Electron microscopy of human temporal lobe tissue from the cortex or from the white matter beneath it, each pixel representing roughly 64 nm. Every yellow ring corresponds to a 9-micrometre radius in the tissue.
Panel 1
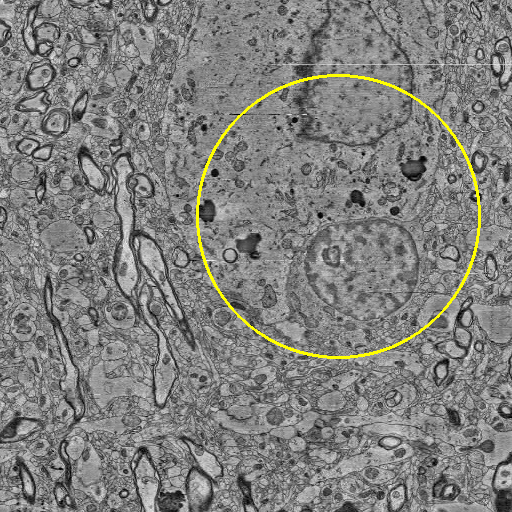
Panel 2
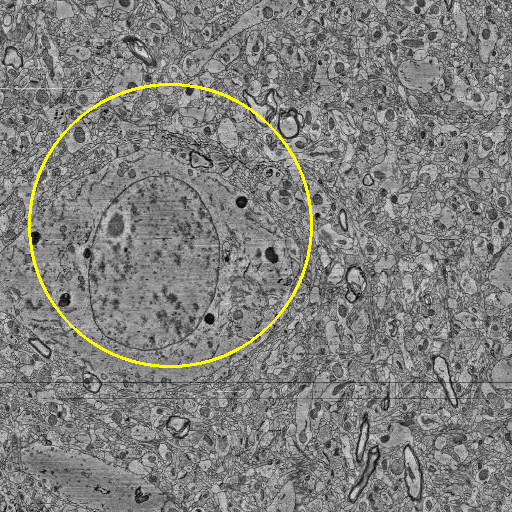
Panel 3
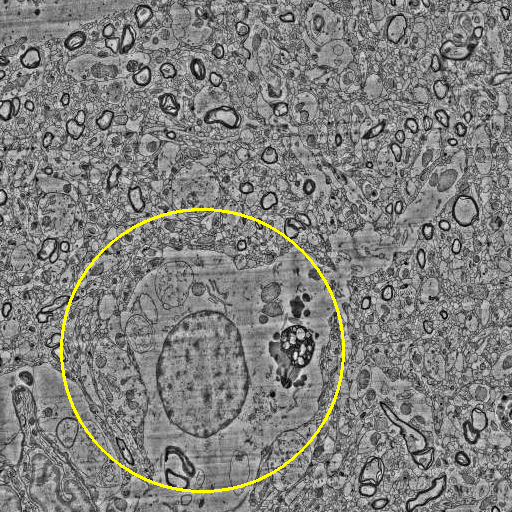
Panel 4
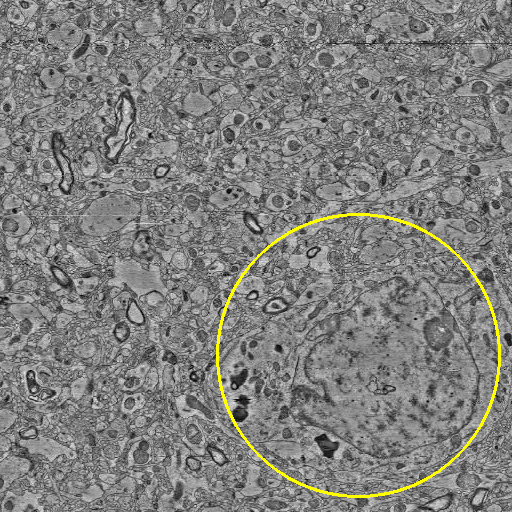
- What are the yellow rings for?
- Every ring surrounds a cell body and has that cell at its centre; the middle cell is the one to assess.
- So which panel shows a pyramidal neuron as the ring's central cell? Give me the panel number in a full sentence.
The panel whose ring is centred on the cell in question is panel 2.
